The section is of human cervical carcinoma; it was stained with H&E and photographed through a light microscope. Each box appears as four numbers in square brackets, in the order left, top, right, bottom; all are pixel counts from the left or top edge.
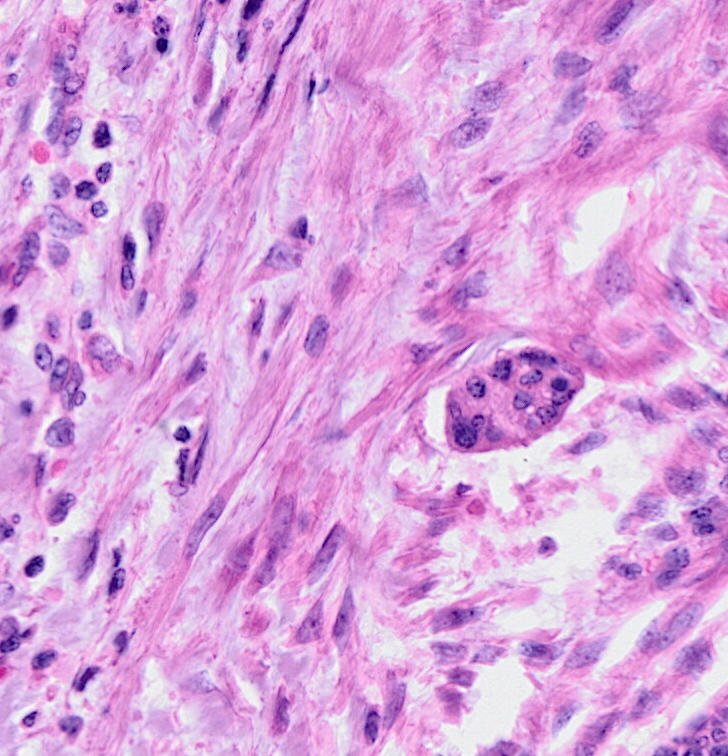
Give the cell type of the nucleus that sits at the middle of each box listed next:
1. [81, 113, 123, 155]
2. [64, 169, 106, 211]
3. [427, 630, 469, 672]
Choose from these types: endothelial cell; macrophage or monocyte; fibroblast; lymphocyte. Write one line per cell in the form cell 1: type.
cell 1: lymphocyte
cell 2: lymphocyte
cell 3: fibroblast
